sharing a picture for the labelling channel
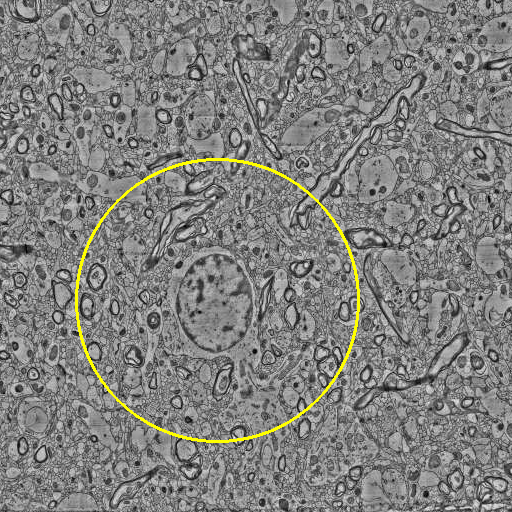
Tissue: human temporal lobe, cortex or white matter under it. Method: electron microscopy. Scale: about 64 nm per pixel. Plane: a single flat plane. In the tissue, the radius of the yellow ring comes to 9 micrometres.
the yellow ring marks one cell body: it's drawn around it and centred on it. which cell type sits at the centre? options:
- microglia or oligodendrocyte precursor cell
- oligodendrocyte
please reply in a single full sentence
In the picture, the cell at the ring's centre is a microglial cell or oligodendrocyte precursor cell, going by the list.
